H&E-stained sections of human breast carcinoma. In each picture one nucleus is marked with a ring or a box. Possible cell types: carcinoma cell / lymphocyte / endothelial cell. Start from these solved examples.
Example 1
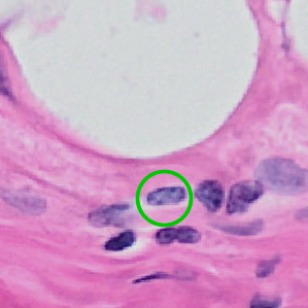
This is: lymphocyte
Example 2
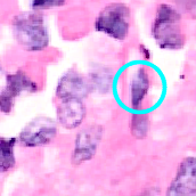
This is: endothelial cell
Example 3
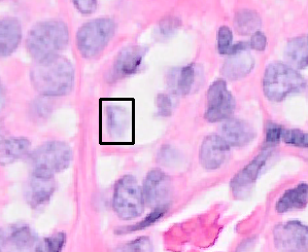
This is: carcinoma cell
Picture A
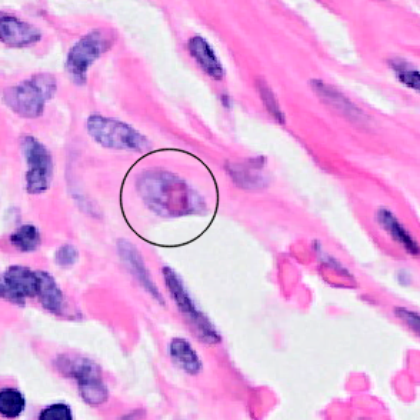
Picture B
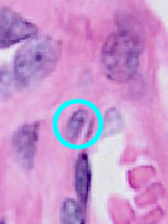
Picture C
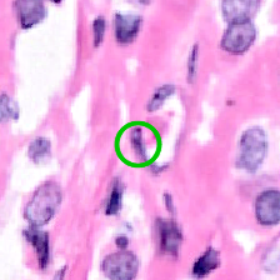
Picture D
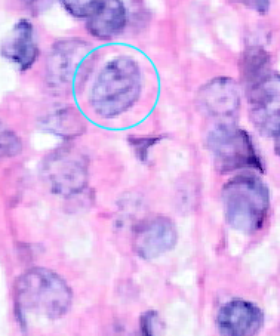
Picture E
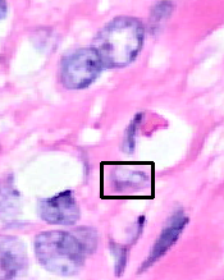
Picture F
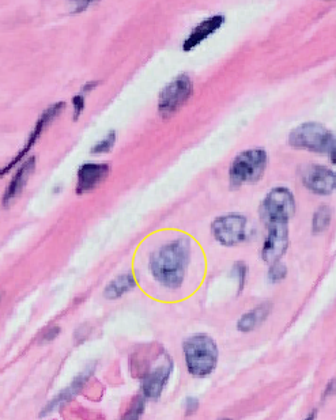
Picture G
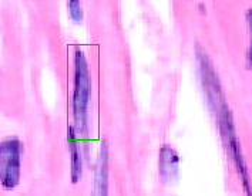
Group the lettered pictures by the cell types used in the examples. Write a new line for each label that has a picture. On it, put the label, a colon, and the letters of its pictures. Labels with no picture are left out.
carcinoma cell: D
endothelial cell: A, B, C, E, F, G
